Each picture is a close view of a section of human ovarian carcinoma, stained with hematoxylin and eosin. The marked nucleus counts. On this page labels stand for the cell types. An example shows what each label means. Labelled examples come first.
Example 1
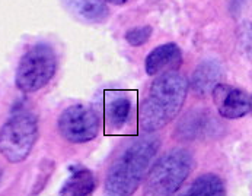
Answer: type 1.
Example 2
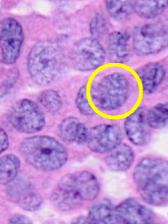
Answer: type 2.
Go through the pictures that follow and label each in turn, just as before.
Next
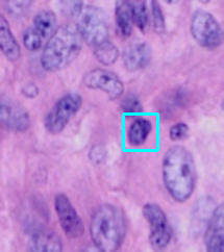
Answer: type 1.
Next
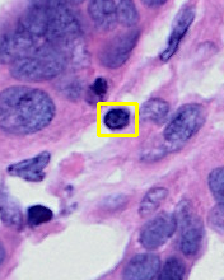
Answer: type 1.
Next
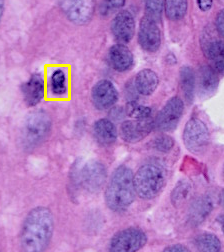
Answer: type 1.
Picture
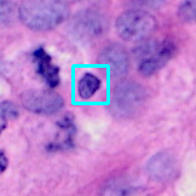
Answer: type 1.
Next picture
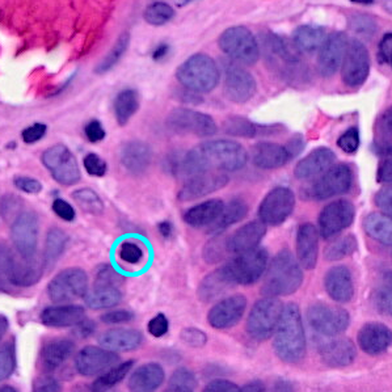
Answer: type 1.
